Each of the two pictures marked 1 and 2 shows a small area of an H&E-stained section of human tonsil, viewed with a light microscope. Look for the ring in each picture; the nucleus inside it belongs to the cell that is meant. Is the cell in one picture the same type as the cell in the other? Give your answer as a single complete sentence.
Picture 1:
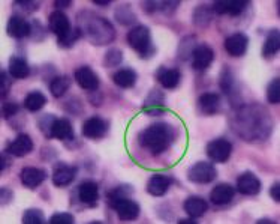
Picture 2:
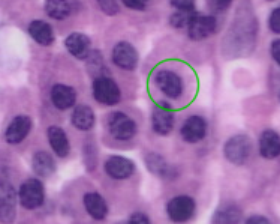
No, picture 1 shows a proliferating B cell and picture 2 shows a plasma cell.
